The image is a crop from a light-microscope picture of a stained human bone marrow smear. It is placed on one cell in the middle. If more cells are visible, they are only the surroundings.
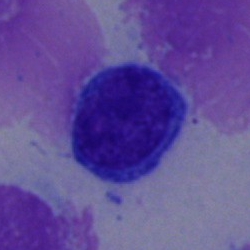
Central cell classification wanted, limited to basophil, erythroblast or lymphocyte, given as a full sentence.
This crop's central cell is a lymphocyte.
